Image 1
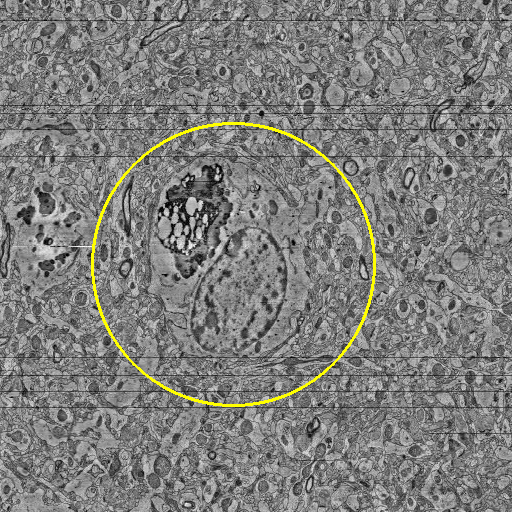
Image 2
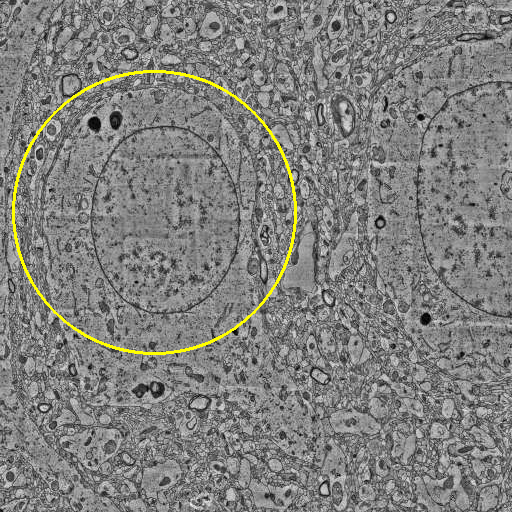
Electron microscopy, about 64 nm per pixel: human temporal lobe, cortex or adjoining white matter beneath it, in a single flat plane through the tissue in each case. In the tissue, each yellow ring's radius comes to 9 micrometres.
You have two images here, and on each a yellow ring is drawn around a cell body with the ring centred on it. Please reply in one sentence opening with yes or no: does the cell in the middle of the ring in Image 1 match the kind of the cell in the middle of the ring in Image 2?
No, the two images show cells of two kinds at the centres of their rings.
